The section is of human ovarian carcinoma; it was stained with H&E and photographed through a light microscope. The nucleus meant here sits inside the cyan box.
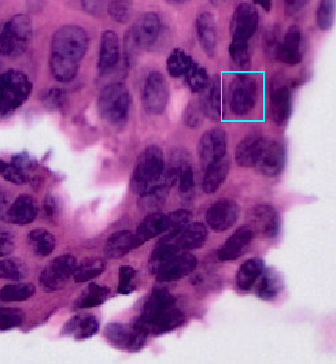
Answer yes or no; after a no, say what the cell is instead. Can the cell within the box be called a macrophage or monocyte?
No, it is a carcinoma cell.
